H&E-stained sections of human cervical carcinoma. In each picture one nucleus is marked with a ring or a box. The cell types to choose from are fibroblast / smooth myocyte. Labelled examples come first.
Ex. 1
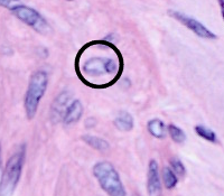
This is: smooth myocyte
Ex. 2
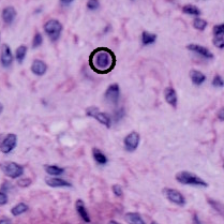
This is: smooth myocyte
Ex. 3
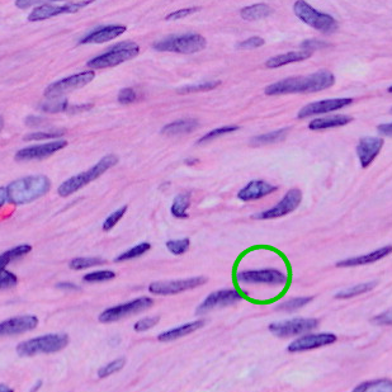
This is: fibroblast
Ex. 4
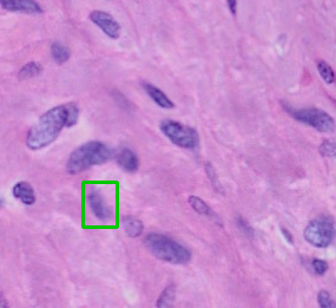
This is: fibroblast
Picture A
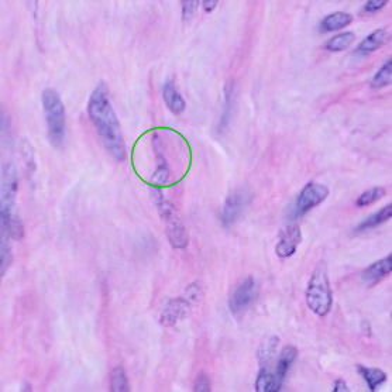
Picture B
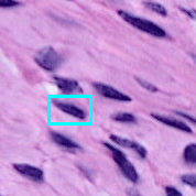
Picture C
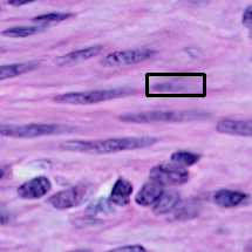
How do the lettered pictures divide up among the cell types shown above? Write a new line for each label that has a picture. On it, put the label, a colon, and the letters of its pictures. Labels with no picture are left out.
fibroblast: B
smooth myocyte: A, C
